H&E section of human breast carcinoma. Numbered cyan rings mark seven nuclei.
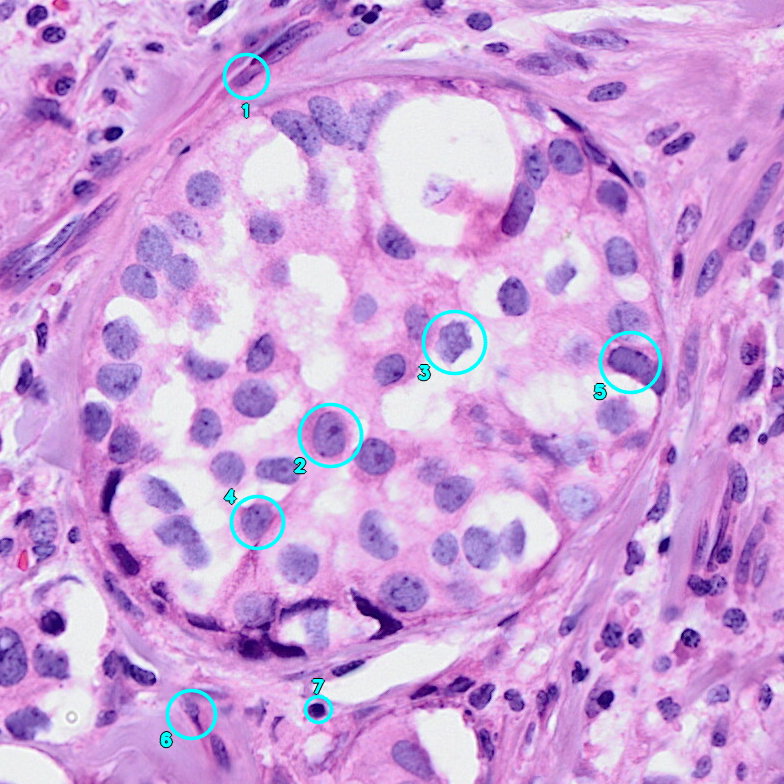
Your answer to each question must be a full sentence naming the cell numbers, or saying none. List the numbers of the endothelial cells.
On this slide, the cells numbered 1 and 6 are endothelial cells.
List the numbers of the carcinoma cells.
The cells that bear the numbers 2, 3, 4 and 5 are carcinoma cells.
